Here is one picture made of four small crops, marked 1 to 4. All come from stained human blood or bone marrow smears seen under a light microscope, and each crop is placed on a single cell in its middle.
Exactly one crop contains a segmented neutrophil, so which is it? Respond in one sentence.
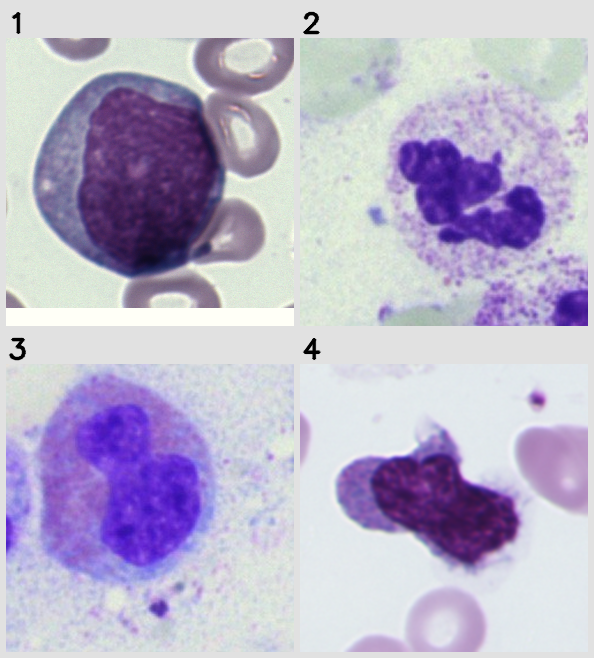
Crop 2 is the right one; it is the crop showing a segmented neutrophil.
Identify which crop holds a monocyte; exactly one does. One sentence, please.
Among all the crops given here, the one with a monocyte is crop 4.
